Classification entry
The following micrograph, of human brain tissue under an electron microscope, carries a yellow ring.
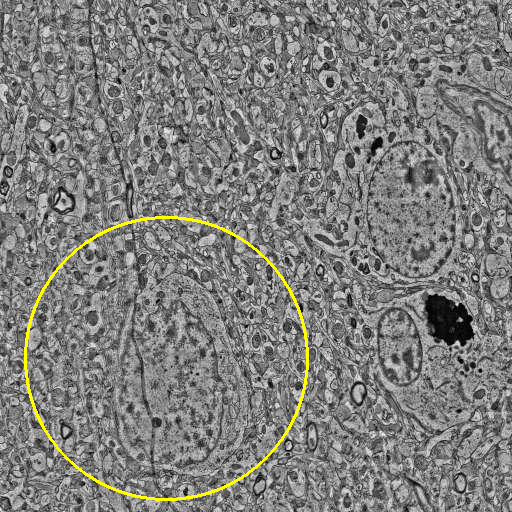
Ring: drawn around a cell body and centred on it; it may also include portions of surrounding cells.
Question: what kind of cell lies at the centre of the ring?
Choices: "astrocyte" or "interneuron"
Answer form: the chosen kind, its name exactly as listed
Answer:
interneuron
